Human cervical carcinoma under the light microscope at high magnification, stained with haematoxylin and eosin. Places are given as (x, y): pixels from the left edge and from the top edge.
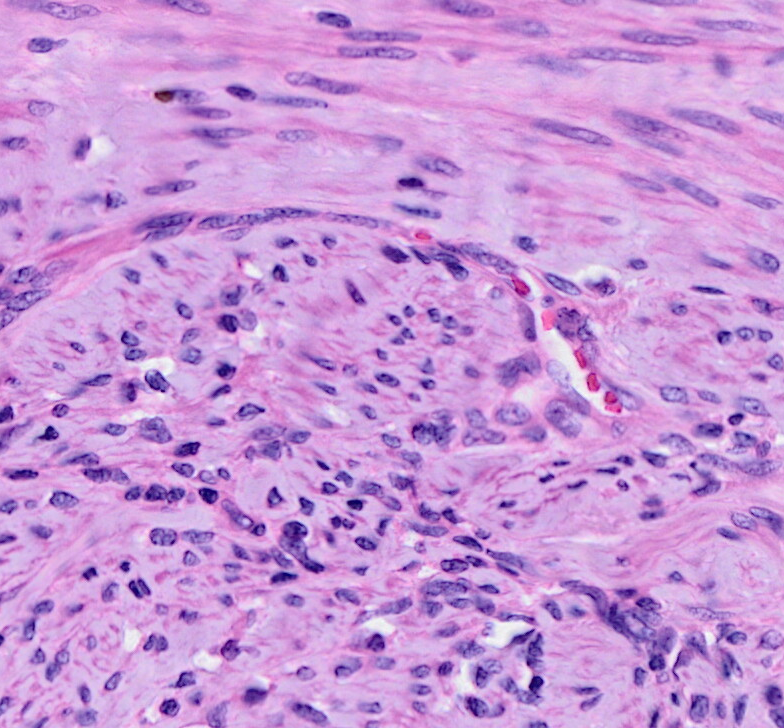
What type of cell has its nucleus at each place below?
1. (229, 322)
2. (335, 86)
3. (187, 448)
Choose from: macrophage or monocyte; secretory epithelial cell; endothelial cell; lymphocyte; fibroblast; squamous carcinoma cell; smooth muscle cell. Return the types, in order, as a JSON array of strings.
["lymphocyte", "smooth muscle cell", "lymphocyte"]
